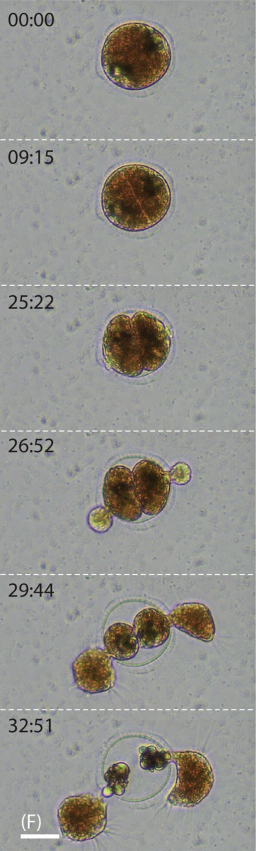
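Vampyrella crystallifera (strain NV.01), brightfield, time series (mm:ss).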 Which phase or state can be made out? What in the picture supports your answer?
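A round cyst first shows one cell, then two or more lobes inside. Later frames show irregular cells leaving the empty cyst wall.
Hence: hatching amoebae.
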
